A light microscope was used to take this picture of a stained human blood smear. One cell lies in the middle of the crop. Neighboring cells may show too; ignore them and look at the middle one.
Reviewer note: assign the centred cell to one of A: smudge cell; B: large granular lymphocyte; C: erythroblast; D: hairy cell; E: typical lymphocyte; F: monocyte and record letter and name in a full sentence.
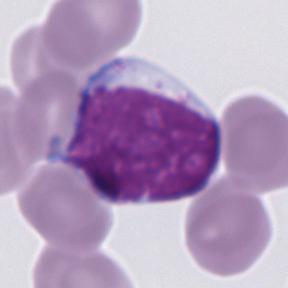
The cell occupying the centre is a large granular lymphocyte; option B is thus the correct choice.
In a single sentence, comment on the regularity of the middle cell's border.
Seen at its edge, the cell is not smooth but ragged or projecting.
